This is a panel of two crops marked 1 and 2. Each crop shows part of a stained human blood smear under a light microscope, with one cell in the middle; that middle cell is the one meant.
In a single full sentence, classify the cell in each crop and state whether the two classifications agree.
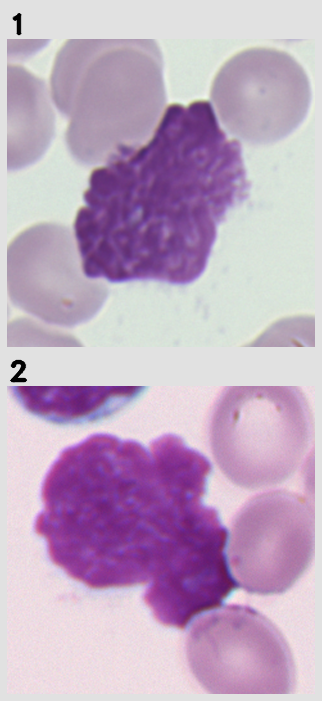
Yes, in the case of both crops, the central cells are smudge cells.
